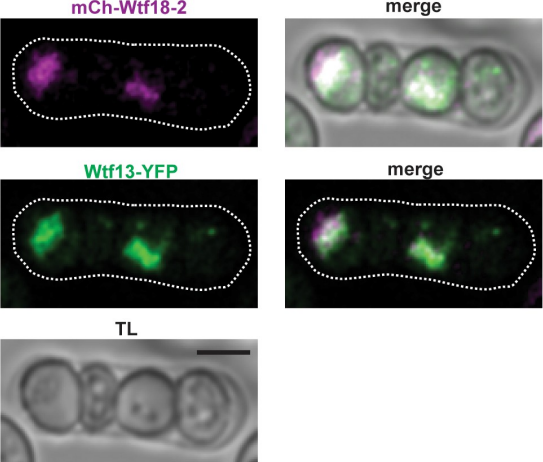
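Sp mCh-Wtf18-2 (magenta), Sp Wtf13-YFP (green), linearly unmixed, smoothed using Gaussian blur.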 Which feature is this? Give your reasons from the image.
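Tetrad. Four spores lie in a row within one elongated outline. The transmitted-light image shows four spore bodies in a common sac.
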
